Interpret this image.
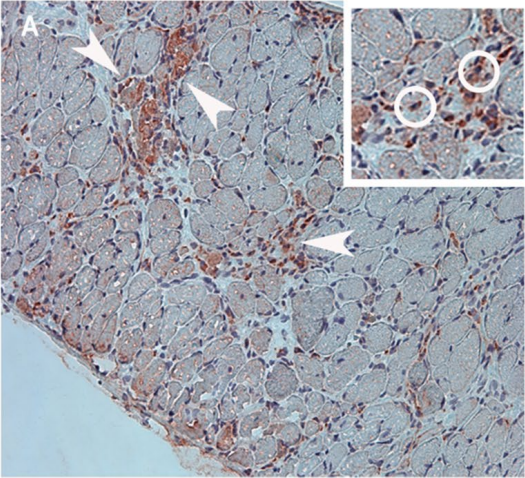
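The fibres are cut across as rounded to polygonal pale grey-blue profiles of varying size, with blue nuclei at their edges. Between them, especially in a band running through the upper middle of the field, lie dense patches of small cells with brownish-red cytoplasm and blue nuclei. Some fibres in these patches appear tinted reddish. Smaller groups of reddish cells are scattered elsewhere in the spaces between fibres and along the section's edge. The inset enlarges small reddish cells with dark nuclei sitting between fibres.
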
